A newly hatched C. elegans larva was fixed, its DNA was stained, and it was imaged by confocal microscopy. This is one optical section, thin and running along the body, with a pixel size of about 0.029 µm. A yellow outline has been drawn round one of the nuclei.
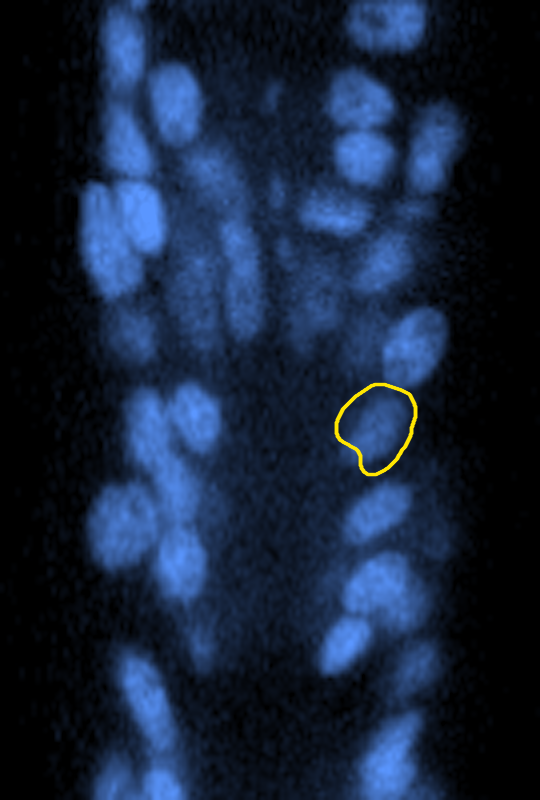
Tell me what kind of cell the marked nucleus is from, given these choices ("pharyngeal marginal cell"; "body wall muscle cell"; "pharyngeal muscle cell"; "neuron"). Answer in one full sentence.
The marked nucleus belongs to a neuron.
